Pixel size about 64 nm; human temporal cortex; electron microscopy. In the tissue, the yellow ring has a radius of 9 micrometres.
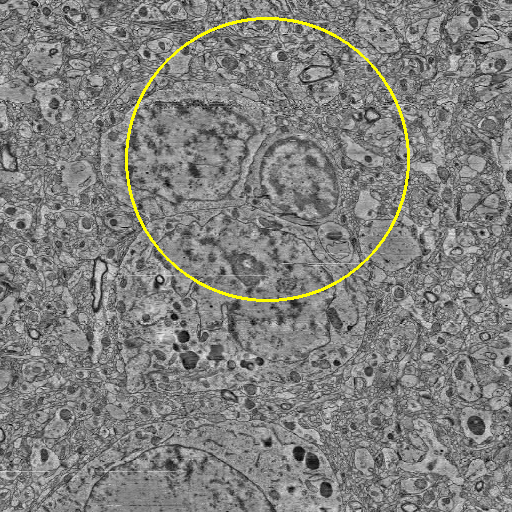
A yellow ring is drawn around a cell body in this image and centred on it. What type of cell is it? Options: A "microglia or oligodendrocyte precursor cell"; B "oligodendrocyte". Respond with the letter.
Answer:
B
